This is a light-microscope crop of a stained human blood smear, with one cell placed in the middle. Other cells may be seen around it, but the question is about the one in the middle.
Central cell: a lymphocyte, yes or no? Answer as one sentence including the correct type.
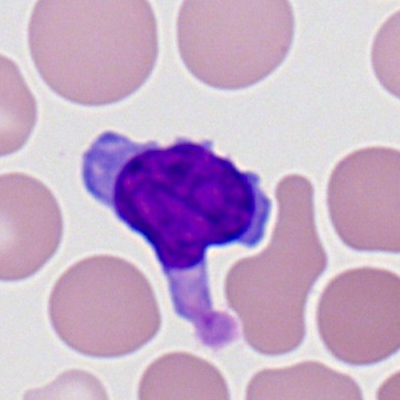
Yes, the cell positioned in the middle is a lymphocyte.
